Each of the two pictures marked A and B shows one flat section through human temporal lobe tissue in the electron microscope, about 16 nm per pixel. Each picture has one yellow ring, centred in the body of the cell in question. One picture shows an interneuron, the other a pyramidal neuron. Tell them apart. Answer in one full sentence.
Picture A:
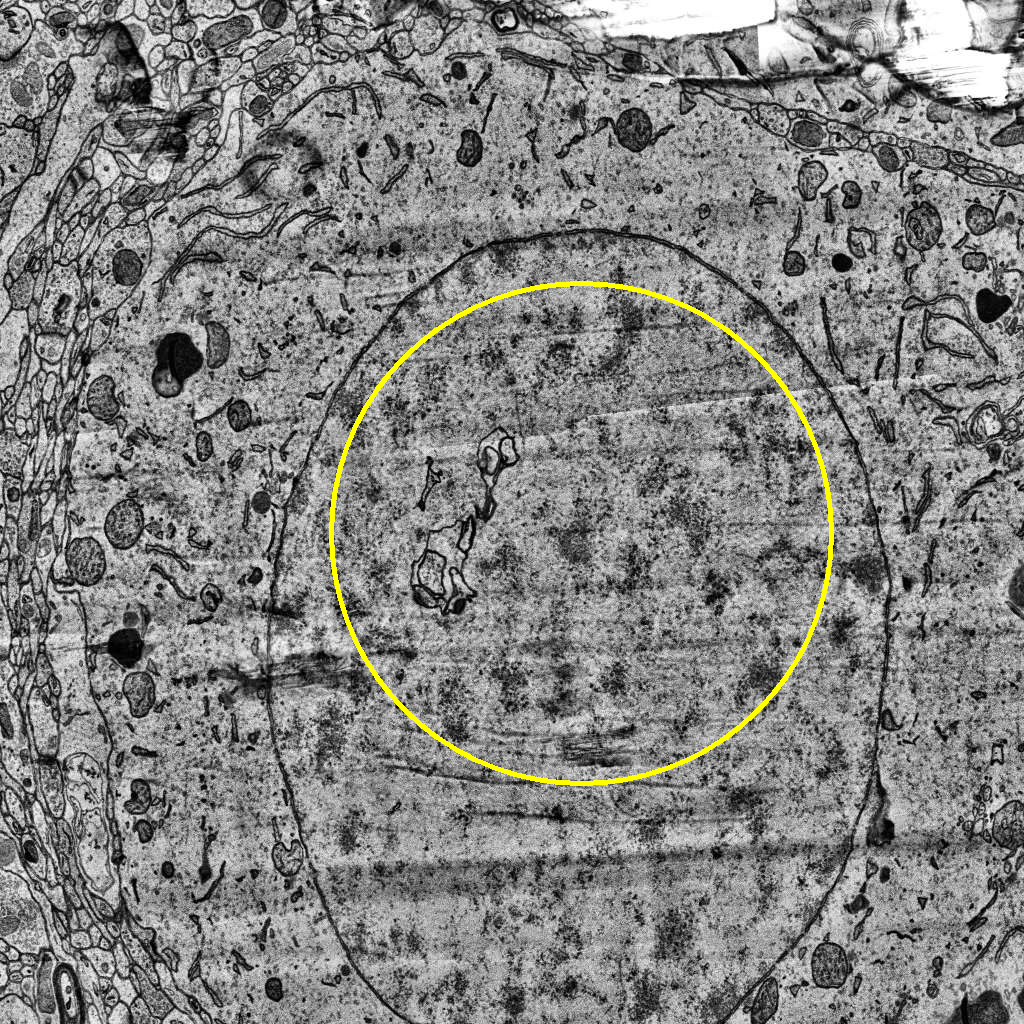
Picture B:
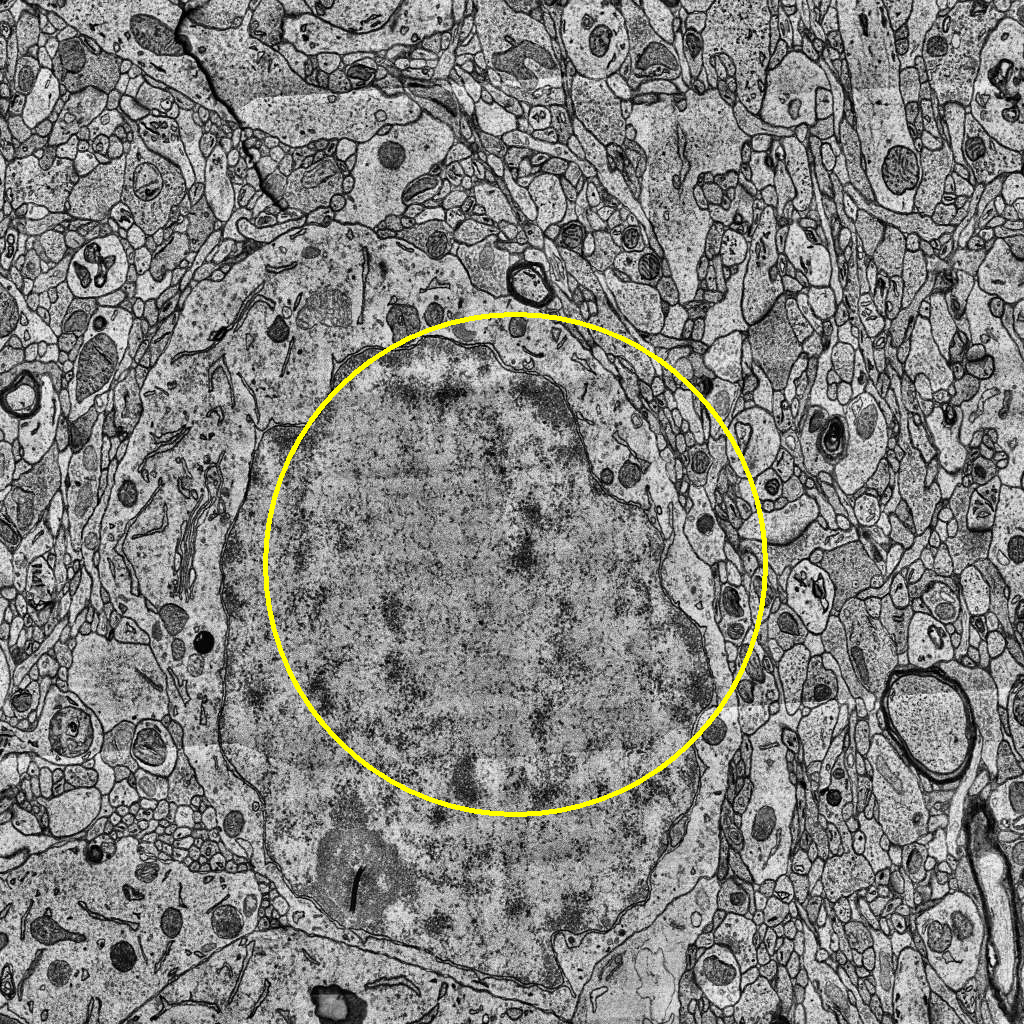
Picture A shows a pyramidal neuron and picture B shows an interneuron.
